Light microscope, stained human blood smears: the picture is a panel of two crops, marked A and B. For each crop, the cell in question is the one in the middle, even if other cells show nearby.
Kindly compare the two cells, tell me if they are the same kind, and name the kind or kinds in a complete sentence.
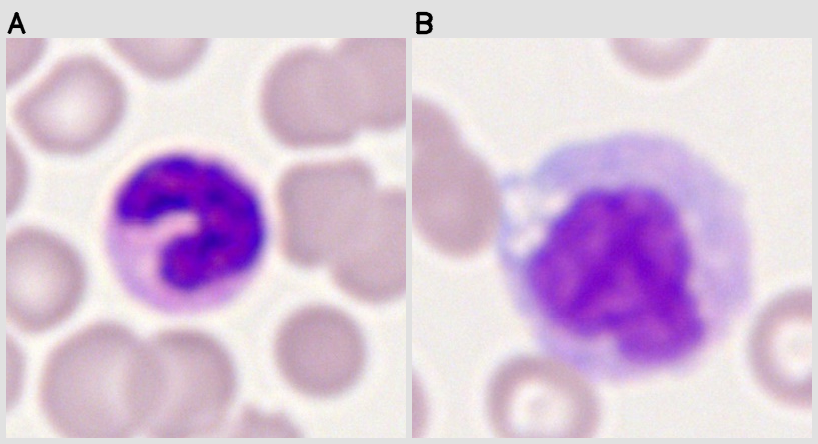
No, crop A contains a band neutrophil, while crop B contains a monocyte.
